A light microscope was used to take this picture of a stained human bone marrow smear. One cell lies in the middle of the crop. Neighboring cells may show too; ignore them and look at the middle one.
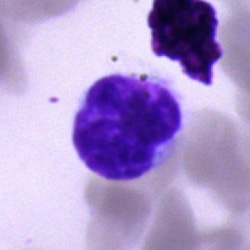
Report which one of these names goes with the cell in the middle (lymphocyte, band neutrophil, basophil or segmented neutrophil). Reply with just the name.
lymphocyte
